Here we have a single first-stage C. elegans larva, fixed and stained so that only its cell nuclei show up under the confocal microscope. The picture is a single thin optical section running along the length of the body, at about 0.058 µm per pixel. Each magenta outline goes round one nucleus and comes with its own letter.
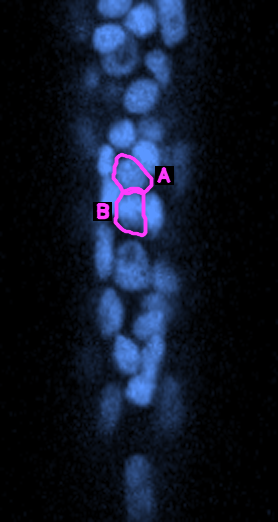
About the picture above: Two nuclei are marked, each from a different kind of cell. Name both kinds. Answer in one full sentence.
A belongs to a neuron and B to a glial cell (sheath or socket).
